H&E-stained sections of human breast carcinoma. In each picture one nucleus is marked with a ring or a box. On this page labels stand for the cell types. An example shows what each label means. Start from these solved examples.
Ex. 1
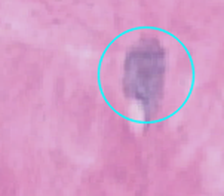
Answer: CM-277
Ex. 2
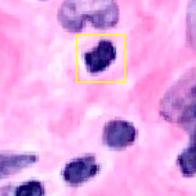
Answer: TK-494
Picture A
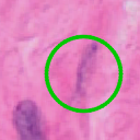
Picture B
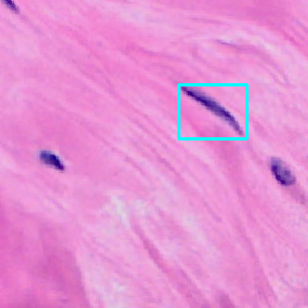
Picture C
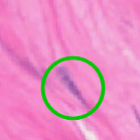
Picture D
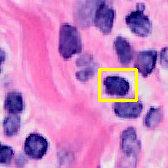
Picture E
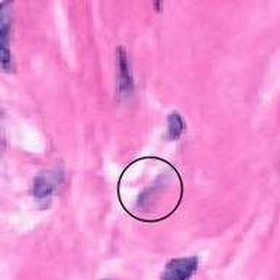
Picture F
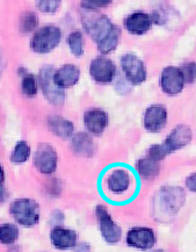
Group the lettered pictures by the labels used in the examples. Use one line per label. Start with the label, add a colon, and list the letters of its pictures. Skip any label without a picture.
CM-277: A, B, C, E
TK-494: D, F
